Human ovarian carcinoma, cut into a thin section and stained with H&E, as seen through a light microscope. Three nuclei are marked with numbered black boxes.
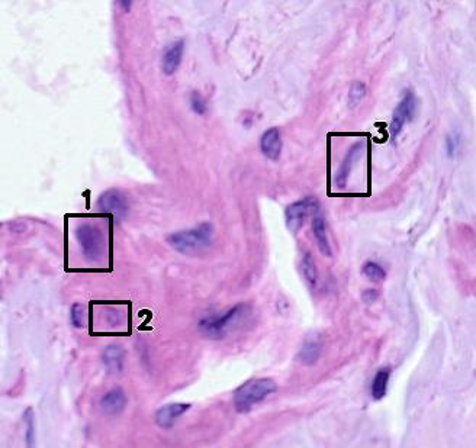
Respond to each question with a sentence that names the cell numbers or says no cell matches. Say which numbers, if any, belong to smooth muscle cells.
There is just one numbered cell that is a smooth muscle cell, and it is cell 2.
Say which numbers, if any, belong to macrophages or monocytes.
None of the cells labelled with numbers belong to the macrophages or monocytes.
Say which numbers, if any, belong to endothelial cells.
Among the labelled cells, only the cell labelled 1 is an endothelial cell.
